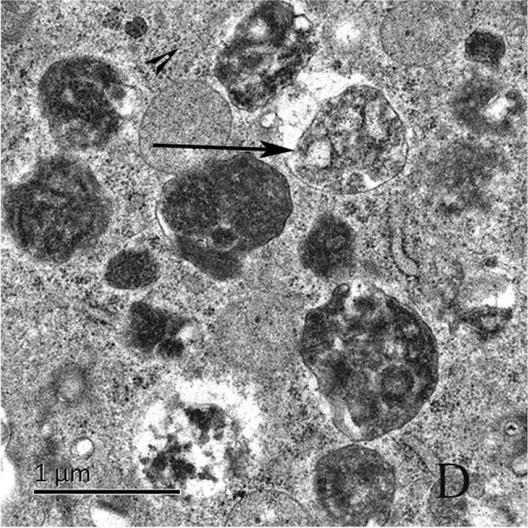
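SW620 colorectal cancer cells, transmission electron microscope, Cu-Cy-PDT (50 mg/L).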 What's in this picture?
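Most are filled with dark, clumped and partly layered material, while some are paler with loose, wispy contents. Between them the ground cytoplasm is granular and somewhat thinned. These round vacuoles enclosing cytoplasmic material are autophagosomes.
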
